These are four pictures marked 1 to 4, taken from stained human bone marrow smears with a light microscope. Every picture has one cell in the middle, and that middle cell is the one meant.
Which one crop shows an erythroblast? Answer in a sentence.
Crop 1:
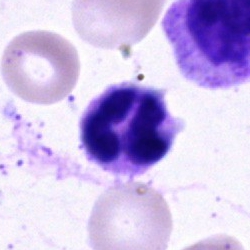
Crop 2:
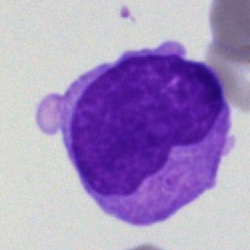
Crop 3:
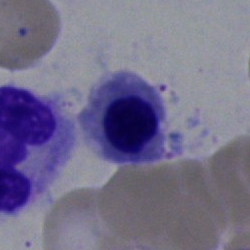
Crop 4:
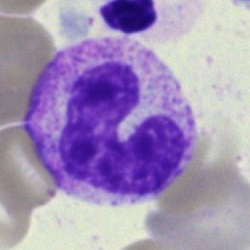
Identified crop: 3, the one that shows an erythroblast.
